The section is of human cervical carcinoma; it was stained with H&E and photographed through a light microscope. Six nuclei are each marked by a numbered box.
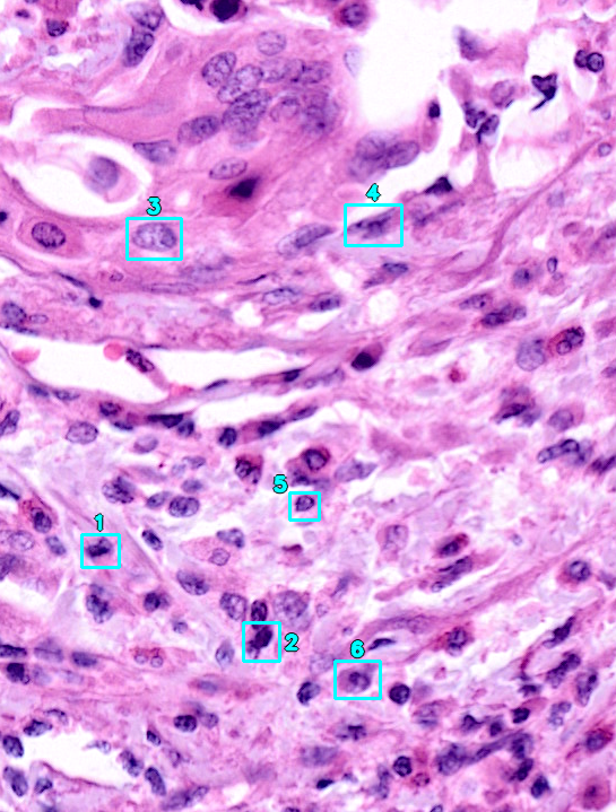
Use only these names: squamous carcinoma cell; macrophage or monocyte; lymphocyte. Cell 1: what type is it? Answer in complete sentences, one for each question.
The cell given label 1 is a lymphocyte.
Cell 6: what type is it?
The cell carrying label 6 is identified as a macrophage or monocyte.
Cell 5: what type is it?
Cell 5 is classified as a lymphocyte.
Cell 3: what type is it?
The cell numbered 3 has been identified as a squamous carcinoma cell.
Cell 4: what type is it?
Marked with the number 4, this cell is a macrophage or monocyte.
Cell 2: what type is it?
Cell 2 should be recorded as a lymphocyte.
